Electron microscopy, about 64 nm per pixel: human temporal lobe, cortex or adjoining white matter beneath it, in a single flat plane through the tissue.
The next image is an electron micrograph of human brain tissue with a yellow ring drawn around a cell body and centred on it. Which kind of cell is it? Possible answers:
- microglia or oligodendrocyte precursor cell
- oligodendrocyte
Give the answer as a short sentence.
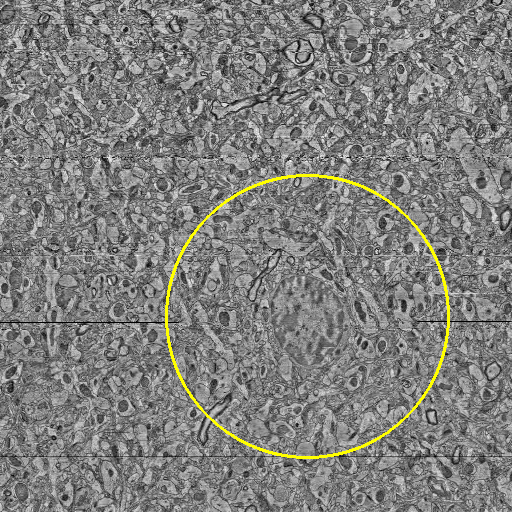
In the ring's centre is an oligodendrocyte.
